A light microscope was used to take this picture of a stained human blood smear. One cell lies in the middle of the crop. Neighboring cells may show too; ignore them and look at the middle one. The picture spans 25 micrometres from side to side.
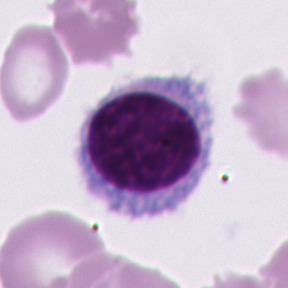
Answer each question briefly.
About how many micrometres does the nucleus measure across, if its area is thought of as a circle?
9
